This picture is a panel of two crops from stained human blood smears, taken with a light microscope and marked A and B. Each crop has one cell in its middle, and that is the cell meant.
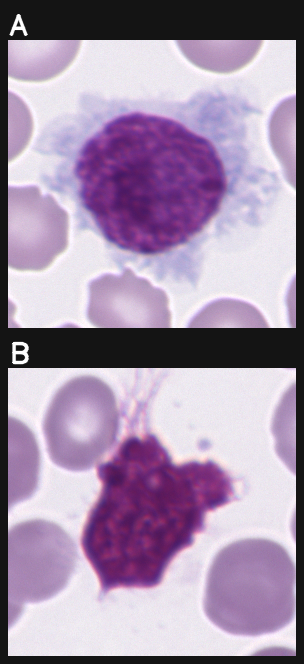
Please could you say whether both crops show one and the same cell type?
no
